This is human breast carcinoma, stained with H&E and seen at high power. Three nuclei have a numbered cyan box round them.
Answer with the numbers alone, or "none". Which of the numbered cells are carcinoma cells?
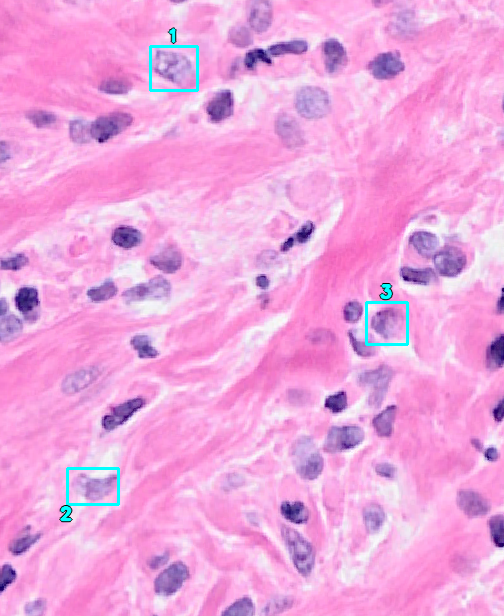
3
